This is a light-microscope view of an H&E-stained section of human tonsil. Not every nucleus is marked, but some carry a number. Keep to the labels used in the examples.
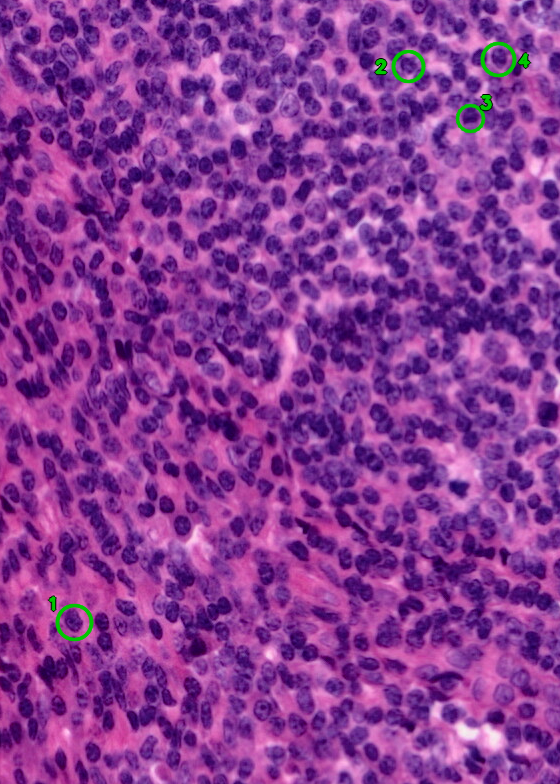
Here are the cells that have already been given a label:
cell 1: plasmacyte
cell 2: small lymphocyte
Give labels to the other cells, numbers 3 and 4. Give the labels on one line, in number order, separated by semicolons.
small lymphocyte; small lymphocyte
